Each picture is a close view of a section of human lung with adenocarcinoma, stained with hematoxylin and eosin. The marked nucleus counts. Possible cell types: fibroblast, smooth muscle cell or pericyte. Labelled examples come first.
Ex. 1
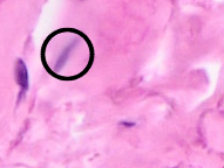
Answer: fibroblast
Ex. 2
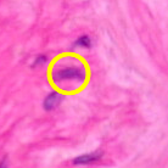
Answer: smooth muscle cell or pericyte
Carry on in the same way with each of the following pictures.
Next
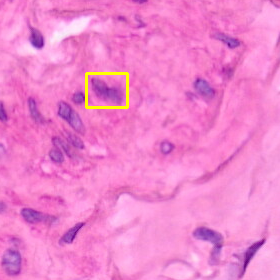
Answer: smooth muscle cell or pericyte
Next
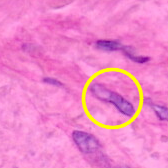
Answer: smooth muscle cell or pericyte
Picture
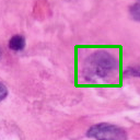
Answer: fibroblast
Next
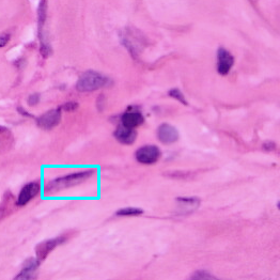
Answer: fibroblast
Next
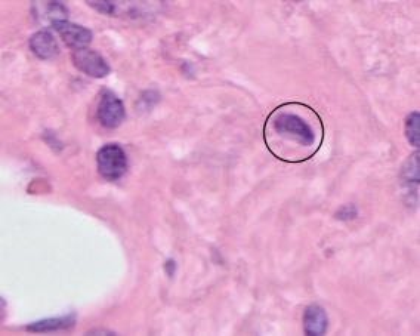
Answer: fibroblast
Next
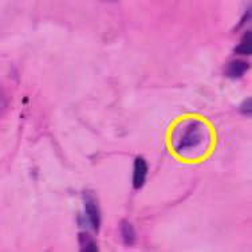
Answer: fibroblast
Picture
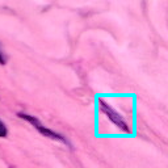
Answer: fibroblast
